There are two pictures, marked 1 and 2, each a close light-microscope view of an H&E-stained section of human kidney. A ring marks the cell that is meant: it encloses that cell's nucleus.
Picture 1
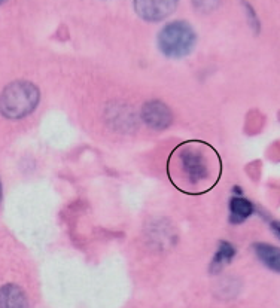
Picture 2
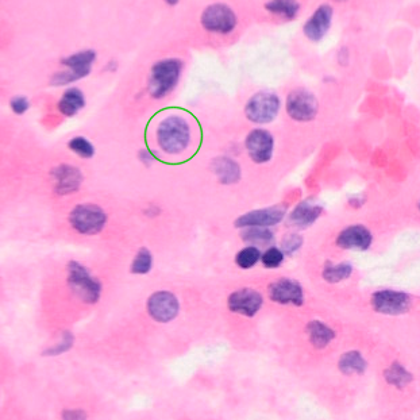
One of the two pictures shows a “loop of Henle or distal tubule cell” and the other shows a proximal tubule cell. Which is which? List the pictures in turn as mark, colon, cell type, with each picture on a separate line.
1: proximal tubule cell
2: loop of Henle or distal tubule cell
